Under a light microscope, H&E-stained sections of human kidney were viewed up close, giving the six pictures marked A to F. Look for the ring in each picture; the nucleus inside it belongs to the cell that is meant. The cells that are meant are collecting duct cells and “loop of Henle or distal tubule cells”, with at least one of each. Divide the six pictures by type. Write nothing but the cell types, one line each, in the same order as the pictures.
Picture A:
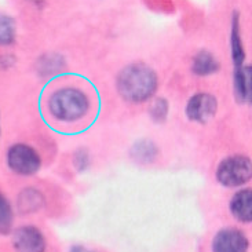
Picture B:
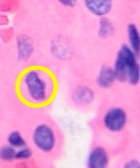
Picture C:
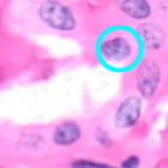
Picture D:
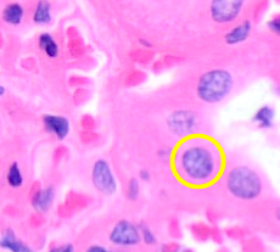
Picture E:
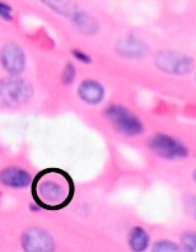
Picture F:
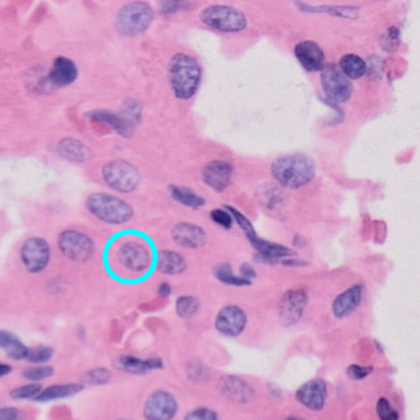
loop of Henle or distal tubule cell
loop of Henle or distal tubule cell
collecting duct cell
loop of Henle or distal tubule cell
collecting duct cell
loop of Henle or distal tubule cell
